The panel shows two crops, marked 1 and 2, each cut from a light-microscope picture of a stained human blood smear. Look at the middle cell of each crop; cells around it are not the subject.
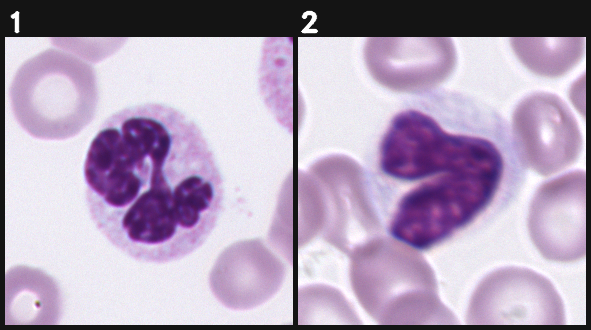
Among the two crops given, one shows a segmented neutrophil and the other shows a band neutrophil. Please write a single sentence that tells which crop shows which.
Crop 1 has been identified as a segmented neutrophil, and crop 2 has been identified as a band neutrophil.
